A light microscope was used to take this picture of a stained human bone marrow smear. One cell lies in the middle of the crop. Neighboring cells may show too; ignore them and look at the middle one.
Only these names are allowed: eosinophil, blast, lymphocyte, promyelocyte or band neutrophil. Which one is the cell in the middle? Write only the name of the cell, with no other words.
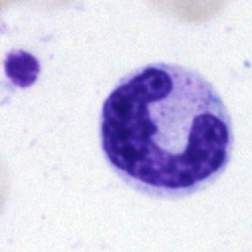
band neutrophil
